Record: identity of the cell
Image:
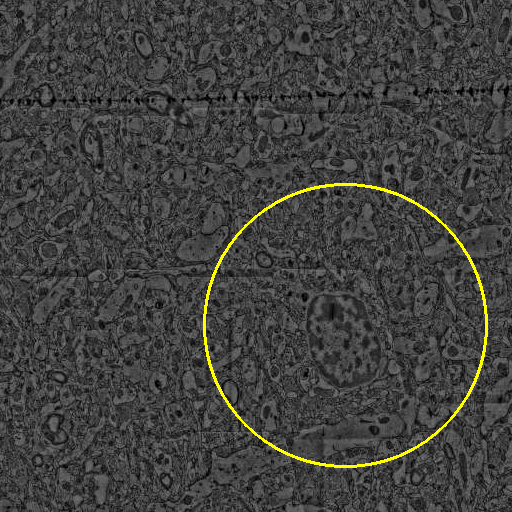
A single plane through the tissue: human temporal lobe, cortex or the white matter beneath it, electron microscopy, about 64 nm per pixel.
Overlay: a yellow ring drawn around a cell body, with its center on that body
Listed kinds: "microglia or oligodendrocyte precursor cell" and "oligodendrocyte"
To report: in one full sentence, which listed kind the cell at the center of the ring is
In the image, the cell body at the ring's center belongs to a microglial cell or oligodendrocyte precursor cell.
